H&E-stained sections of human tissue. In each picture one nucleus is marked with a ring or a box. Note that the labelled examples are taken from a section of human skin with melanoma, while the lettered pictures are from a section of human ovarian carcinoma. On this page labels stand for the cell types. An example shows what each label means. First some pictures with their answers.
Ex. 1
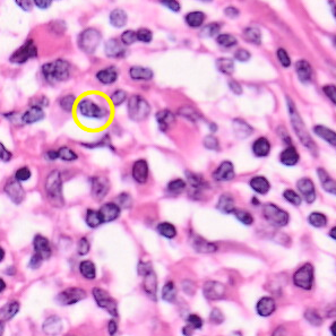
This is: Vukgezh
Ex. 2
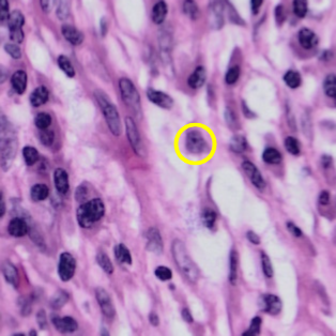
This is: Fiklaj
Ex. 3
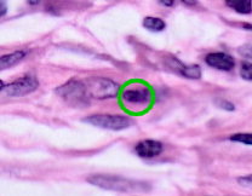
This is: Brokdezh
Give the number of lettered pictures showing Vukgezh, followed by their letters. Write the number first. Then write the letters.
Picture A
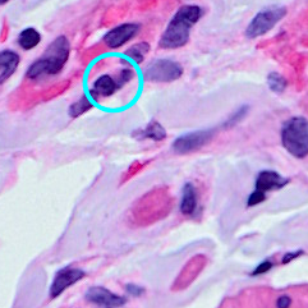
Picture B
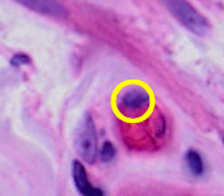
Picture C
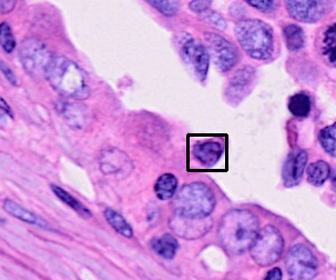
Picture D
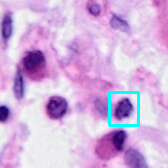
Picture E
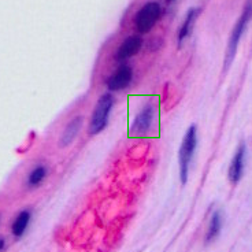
2: A, D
